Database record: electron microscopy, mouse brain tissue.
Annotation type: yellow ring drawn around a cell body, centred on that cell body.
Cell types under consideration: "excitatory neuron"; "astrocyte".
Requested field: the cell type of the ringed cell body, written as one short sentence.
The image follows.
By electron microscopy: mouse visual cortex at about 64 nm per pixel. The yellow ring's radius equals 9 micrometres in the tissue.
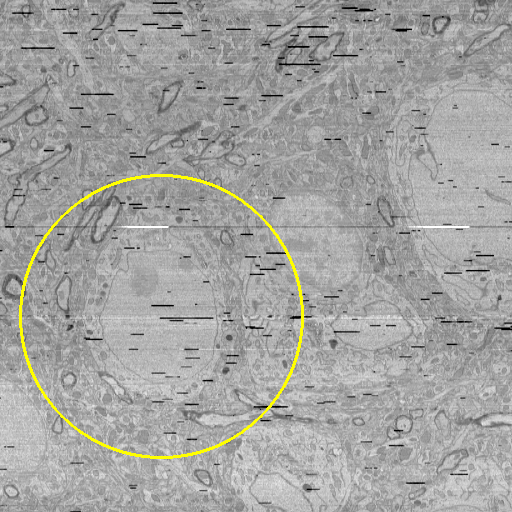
The ringed cell body represents an excitatory neuron.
